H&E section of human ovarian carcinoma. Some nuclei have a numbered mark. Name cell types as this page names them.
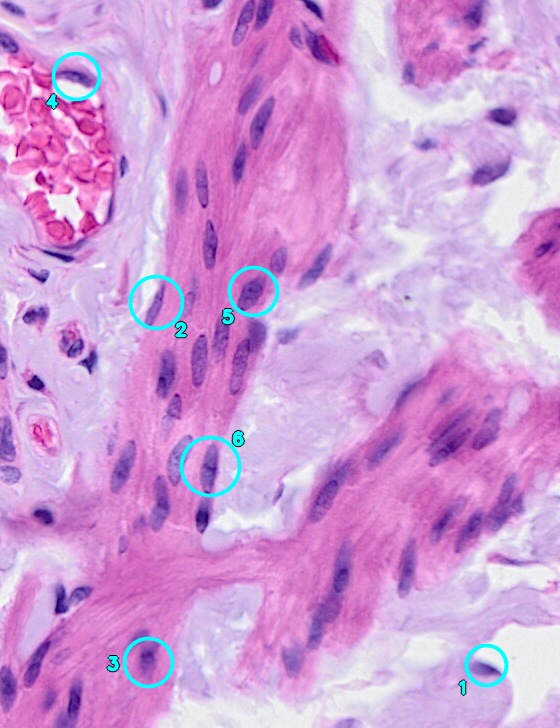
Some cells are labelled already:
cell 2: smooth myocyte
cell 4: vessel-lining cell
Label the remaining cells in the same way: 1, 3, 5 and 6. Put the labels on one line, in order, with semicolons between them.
vessel-lining cell; smooth myocyte; smooth myocyte; smooth myocyte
